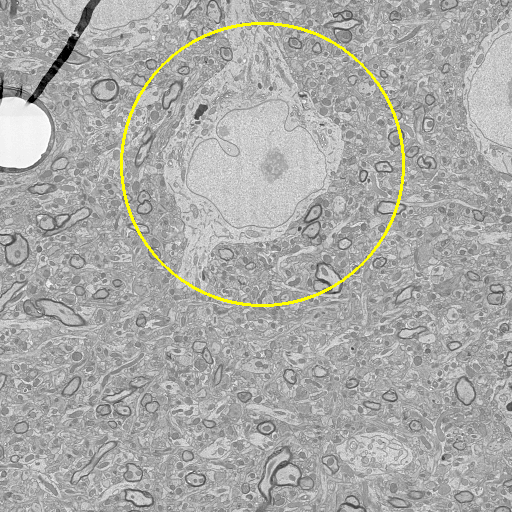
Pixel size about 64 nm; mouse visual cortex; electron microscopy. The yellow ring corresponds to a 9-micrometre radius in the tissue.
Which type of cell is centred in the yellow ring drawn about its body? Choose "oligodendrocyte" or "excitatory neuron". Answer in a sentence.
The yellow ring surrounds the cell body of an excitatory neuron.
